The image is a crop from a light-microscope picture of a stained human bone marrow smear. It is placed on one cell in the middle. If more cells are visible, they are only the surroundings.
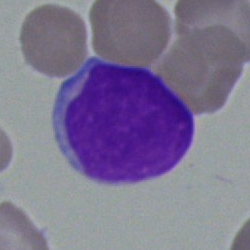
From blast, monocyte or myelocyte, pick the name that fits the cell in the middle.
blast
